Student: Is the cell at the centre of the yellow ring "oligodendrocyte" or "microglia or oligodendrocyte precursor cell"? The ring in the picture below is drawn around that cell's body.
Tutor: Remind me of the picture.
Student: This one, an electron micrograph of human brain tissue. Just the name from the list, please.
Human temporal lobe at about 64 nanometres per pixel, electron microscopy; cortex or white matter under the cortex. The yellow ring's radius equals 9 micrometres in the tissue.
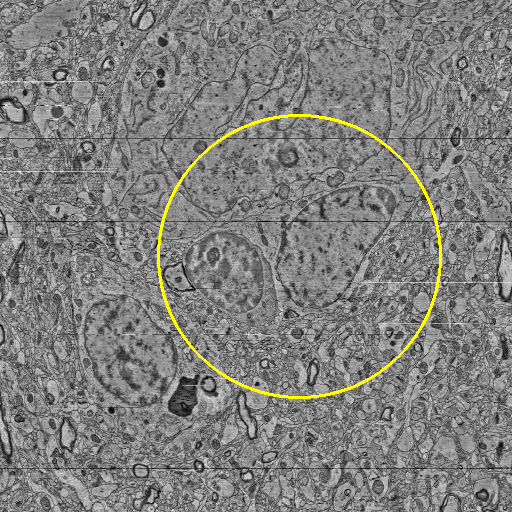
microglia or oligodendrocyte precursor cell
